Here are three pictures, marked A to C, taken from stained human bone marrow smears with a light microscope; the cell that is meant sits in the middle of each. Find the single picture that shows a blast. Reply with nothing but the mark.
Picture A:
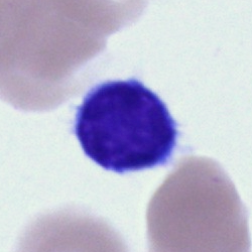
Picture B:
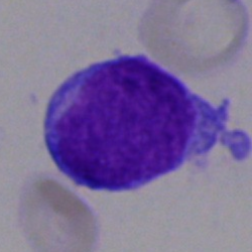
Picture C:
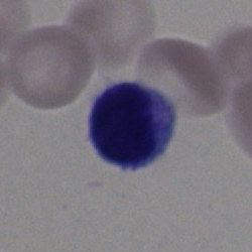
B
